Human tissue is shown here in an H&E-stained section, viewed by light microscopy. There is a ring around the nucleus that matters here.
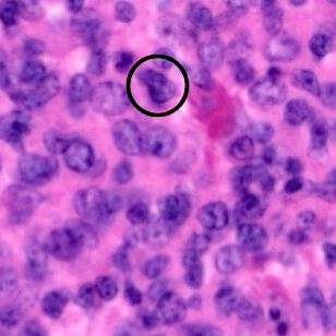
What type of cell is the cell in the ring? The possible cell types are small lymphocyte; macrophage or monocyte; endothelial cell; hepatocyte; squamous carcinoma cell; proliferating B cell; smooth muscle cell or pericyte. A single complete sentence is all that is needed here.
At the level of cell identity, the cell in the ring is a proliferating B cell.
